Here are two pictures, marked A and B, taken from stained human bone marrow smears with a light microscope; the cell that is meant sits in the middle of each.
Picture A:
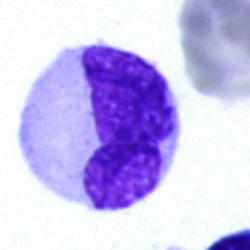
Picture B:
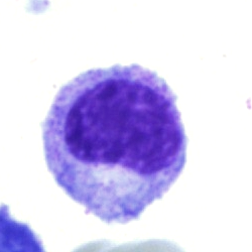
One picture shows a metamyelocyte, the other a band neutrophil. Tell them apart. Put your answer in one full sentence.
The cell in picture A is a band neutrophil, and the one in picture B is a metamyelocyte.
